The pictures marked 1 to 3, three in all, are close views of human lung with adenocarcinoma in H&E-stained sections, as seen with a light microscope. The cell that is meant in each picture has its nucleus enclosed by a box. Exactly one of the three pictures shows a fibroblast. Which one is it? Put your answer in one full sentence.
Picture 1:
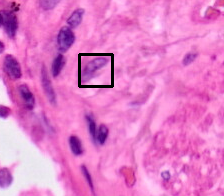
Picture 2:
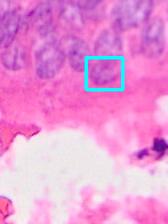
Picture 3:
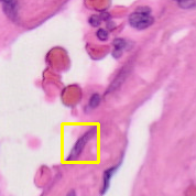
It is picture 1 that shows the fibroblast.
